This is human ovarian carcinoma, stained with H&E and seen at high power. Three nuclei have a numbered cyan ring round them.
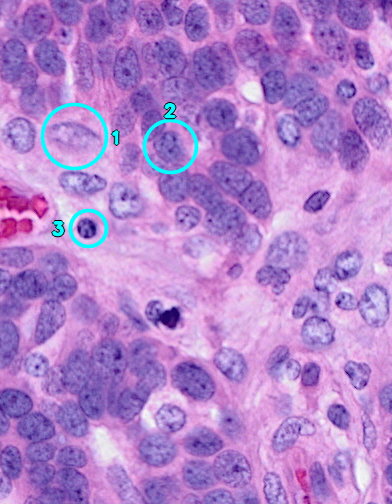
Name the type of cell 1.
fibroblast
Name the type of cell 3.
lymphocyte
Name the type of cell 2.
carcinoma cell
